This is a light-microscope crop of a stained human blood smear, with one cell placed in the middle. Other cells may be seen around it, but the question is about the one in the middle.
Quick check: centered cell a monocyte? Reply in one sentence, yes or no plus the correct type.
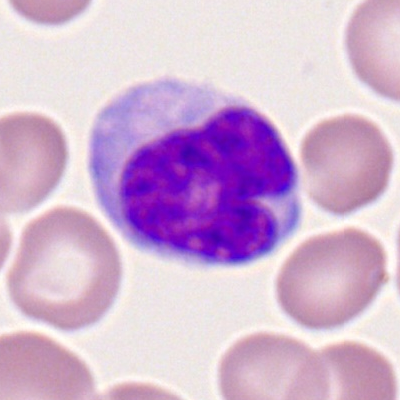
Yes, it is a monocyte that occupies the centre of the crop.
